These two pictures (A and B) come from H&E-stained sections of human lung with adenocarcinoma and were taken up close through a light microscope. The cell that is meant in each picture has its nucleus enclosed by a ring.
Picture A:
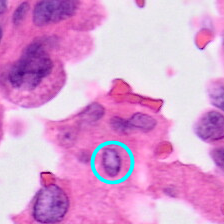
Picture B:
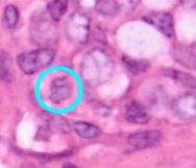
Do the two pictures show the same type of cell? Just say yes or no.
no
